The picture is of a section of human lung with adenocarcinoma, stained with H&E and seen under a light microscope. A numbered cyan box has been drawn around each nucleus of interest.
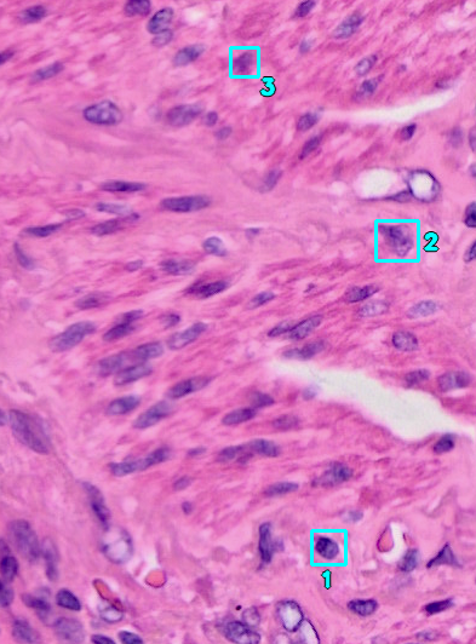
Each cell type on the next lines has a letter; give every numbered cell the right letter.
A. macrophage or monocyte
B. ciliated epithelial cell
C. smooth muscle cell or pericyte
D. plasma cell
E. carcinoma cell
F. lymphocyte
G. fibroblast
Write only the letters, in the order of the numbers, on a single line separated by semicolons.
F; G; C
